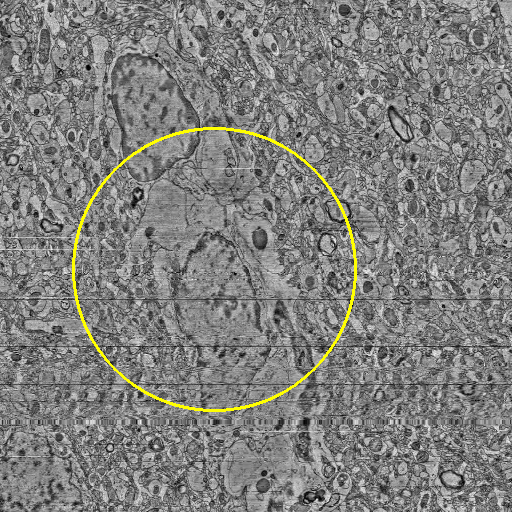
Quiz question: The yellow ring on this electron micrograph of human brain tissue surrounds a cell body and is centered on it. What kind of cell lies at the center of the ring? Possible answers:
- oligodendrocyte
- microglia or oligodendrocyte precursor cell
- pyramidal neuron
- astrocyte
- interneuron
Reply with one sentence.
The ring's center lies on a microglial cell or oligodendrocyte precursor cell.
